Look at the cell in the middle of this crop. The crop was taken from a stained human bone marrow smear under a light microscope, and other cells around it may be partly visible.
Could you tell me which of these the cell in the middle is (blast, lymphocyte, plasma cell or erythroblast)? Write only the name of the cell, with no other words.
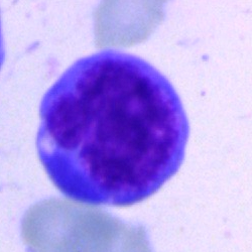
blast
